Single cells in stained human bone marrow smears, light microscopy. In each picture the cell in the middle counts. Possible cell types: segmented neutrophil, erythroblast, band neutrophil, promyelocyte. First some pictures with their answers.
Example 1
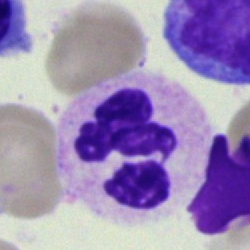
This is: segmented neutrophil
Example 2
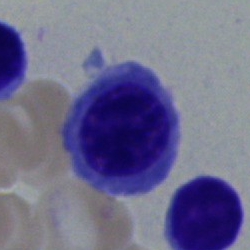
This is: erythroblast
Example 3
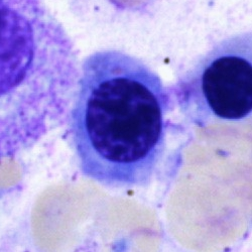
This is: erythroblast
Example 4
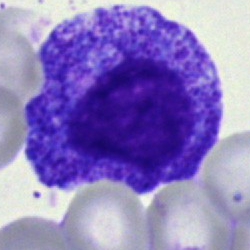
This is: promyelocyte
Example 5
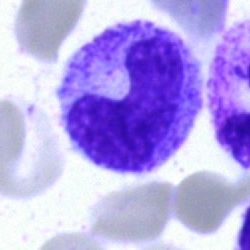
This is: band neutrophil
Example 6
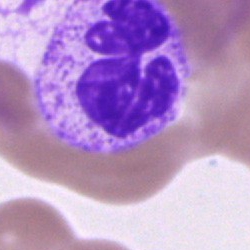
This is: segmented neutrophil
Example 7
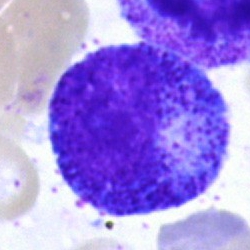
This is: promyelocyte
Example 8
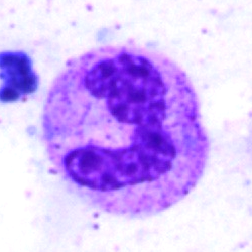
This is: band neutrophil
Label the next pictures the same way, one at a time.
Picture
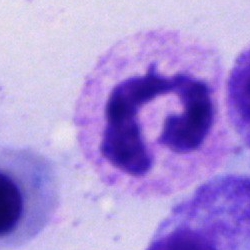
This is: segmented neutrophil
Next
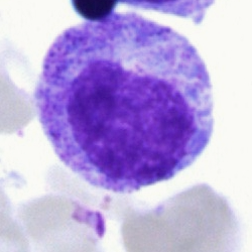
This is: promyelocyte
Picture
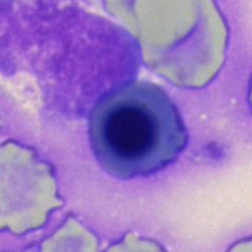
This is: erythroblast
